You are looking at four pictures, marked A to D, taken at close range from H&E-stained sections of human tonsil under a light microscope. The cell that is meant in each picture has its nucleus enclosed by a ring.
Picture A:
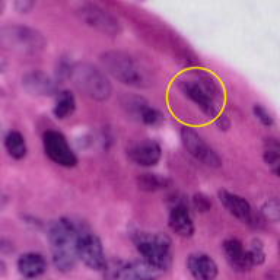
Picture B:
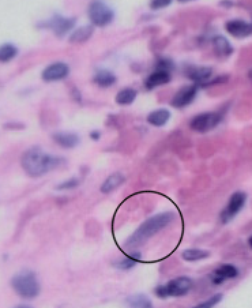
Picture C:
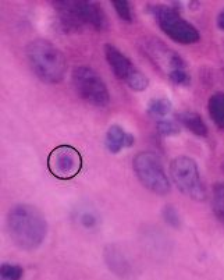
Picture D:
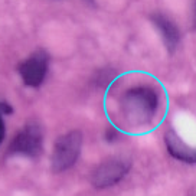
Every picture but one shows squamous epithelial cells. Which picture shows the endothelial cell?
B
